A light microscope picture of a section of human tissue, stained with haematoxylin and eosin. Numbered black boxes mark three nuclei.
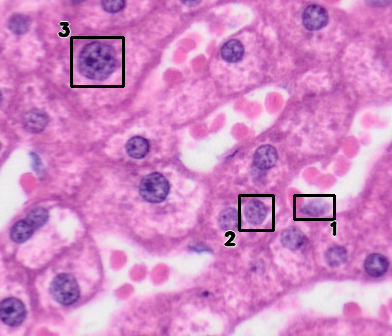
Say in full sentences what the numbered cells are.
Cell 1 is a Kupffer cell, cell 2 is a hepatocyte and cell 3 is a hepatocyte.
